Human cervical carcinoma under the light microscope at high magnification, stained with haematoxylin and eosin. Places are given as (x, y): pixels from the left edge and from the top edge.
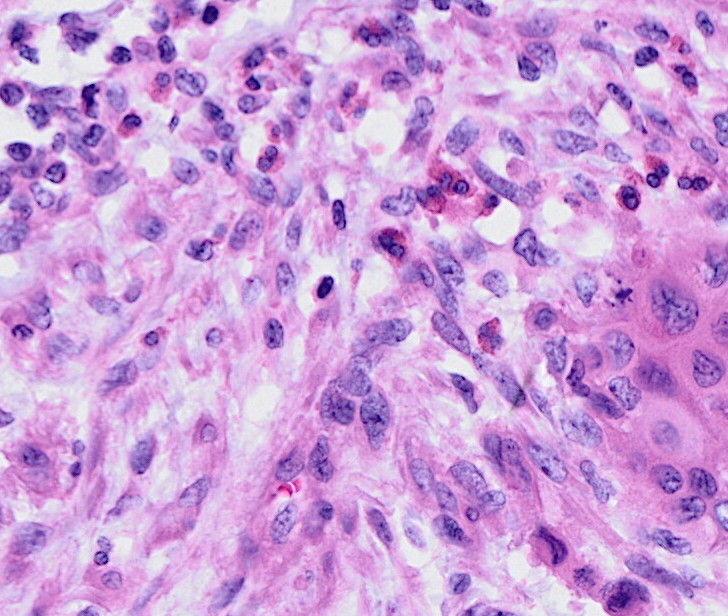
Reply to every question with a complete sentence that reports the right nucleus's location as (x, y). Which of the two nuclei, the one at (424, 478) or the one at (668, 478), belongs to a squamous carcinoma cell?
Identified as belonging to a squamous carcinoma cell is the nucleus at (668, 478).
